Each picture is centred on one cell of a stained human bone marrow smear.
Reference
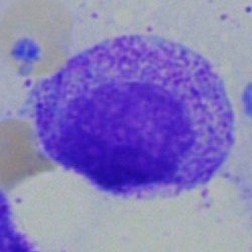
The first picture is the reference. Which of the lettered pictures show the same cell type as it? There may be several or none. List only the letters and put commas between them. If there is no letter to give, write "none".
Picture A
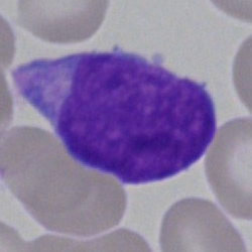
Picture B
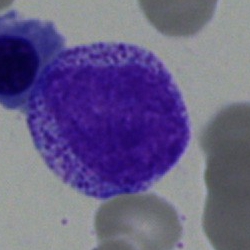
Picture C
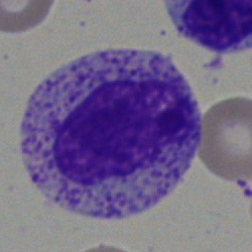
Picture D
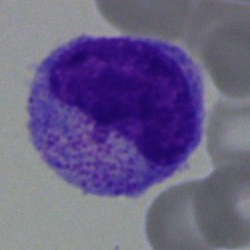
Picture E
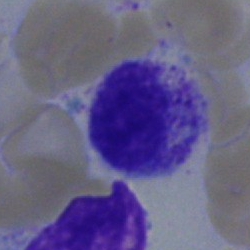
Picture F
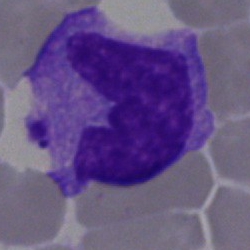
B, C, D, E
